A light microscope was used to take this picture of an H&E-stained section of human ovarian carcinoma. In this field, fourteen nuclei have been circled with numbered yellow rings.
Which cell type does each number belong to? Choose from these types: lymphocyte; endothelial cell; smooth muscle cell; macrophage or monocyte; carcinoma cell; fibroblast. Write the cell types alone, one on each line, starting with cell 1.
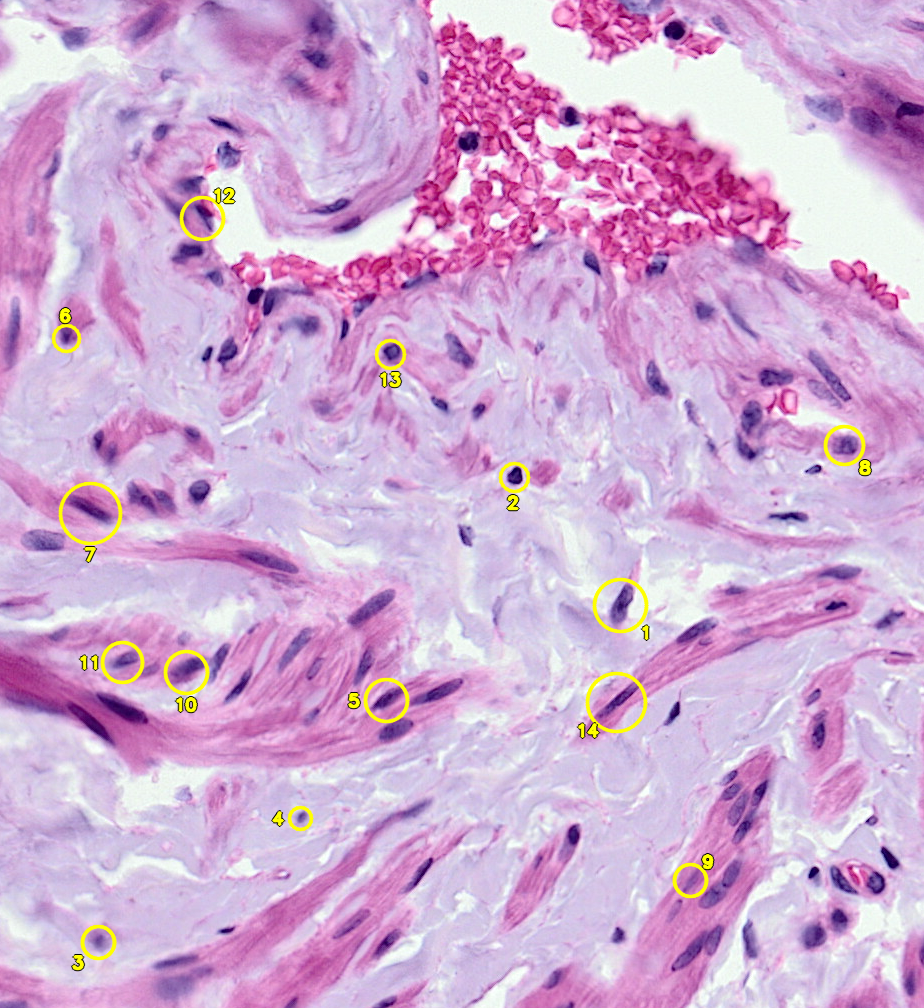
fibroblast
lymphocyte
fibroblast
lymphocyte
smooth muscle cell
smooth muscle cell
smooth muscle cell
endothelial cell
smooth muscle cell
smooth muscle cell
smooth muscle cell
endothelial cell
smooth muscle cell
smooth muscle cell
